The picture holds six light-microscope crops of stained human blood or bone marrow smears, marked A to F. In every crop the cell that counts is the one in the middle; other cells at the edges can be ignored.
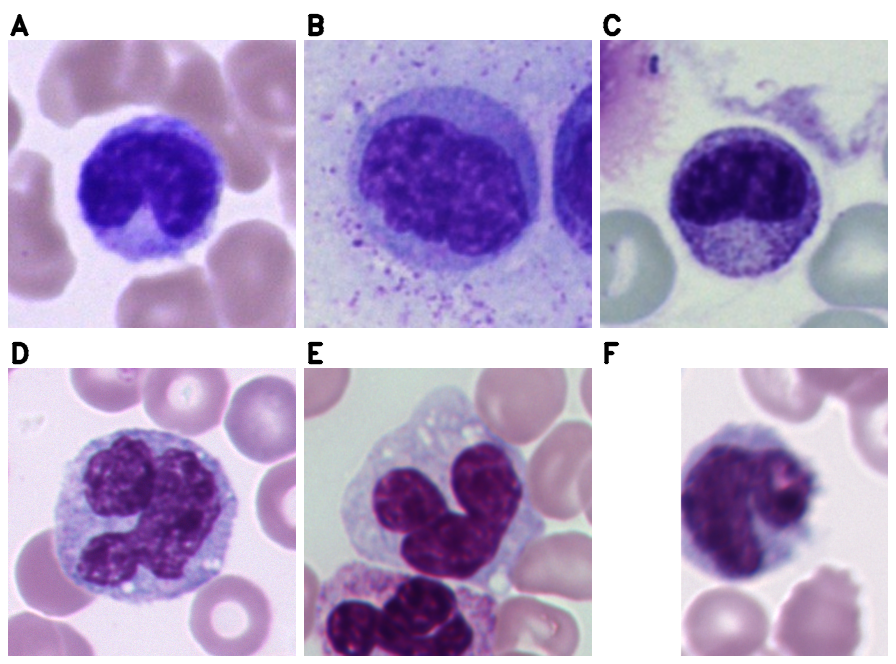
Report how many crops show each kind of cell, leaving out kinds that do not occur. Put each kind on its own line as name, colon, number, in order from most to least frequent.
monocyte: 4
metamyelocyte: 2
